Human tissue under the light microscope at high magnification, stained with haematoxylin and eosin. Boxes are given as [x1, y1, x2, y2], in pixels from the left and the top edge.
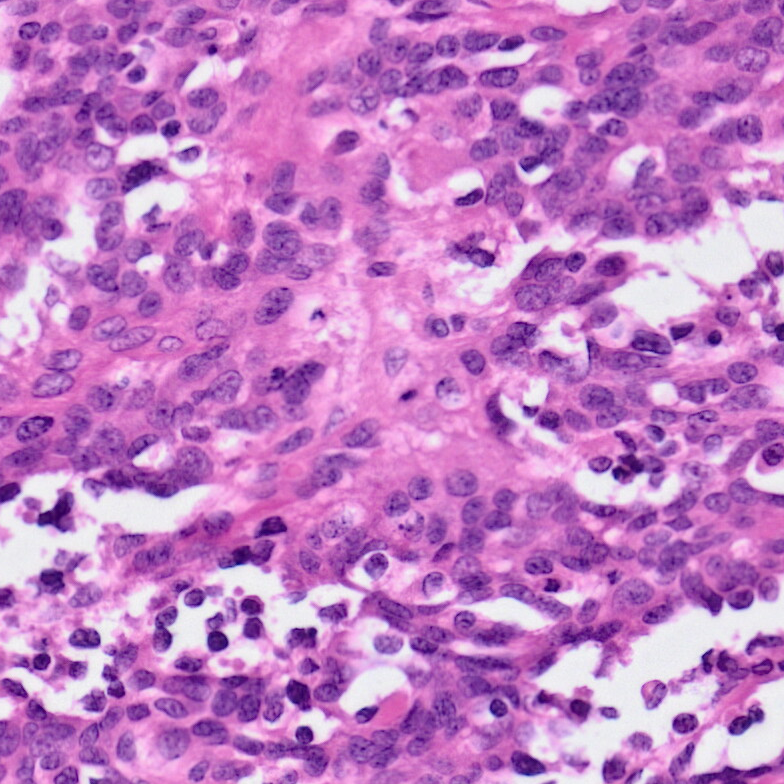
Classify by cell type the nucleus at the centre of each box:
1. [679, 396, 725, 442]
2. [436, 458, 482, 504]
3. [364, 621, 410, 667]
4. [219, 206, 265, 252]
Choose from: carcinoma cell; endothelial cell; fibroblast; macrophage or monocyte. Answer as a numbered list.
1. macrophage or monocyte
2. carcinoma cell
3. carcinoma cell
4. carcinoma cell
